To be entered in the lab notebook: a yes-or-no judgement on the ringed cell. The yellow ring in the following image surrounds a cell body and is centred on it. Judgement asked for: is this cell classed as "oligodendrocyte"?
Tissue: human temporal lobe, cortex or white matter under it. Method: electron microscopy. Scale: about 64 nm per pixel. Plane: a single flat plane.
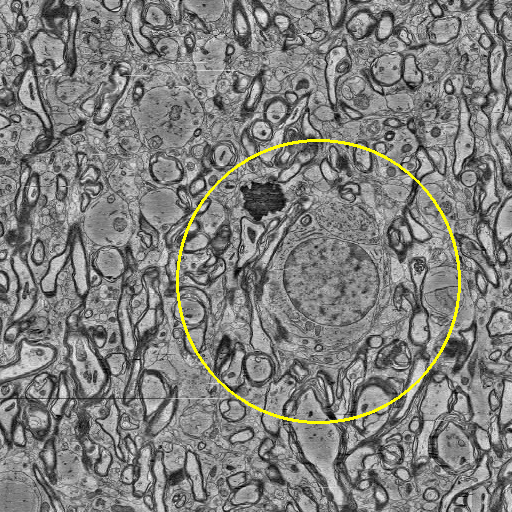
No, it falls in another class.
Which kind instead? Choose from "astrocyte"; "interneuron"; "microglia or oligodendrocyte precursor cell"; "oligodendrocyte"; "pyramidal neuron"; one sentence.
This picture has a microglial cell or oligodendrocyte precursor cell at the centre of its ring.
